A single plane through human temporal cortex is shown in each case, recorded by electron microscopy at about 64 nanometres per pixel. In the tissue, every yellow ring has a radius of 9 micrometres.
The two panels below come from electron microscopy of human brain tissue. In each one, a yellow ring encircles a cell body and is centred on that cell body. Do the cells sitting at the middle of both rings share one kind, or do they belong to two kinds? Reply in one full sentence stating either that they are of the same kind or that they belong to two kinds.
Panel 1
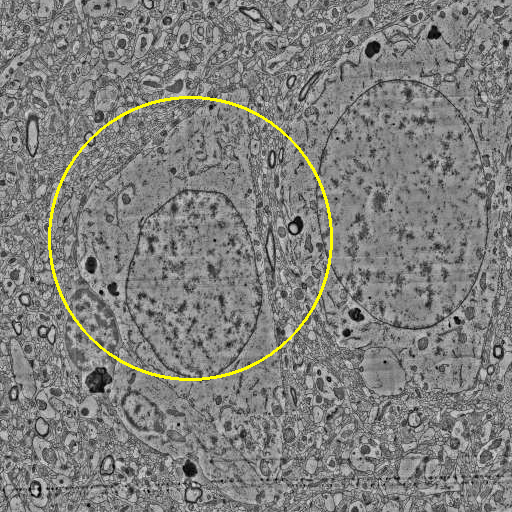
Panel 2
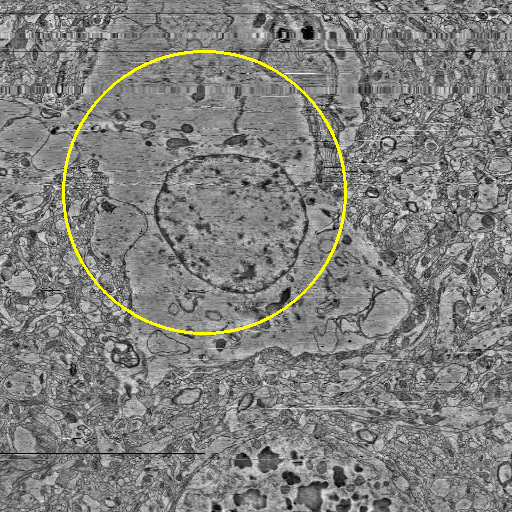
The cells at the centres of the two rings belong to two kinds.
